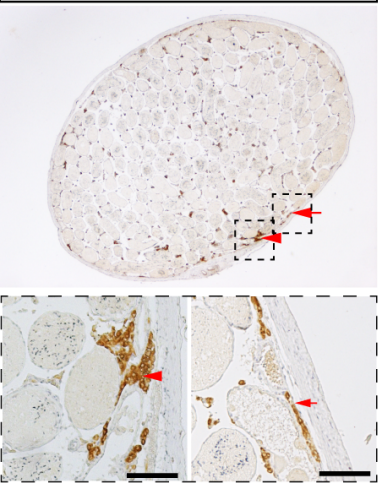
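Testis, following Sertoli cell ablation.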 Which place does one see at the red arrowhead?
Rete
